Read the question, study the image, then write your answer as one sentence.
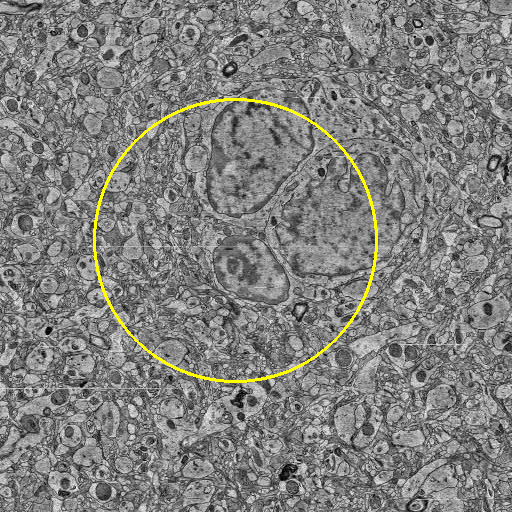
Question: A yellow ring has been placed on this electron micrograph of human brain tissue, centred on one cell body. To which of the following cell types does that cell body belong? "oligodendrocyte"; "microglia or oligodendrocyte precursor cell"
That cell body belongs to a microglial cell or oligodendrocyte precursor cell.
